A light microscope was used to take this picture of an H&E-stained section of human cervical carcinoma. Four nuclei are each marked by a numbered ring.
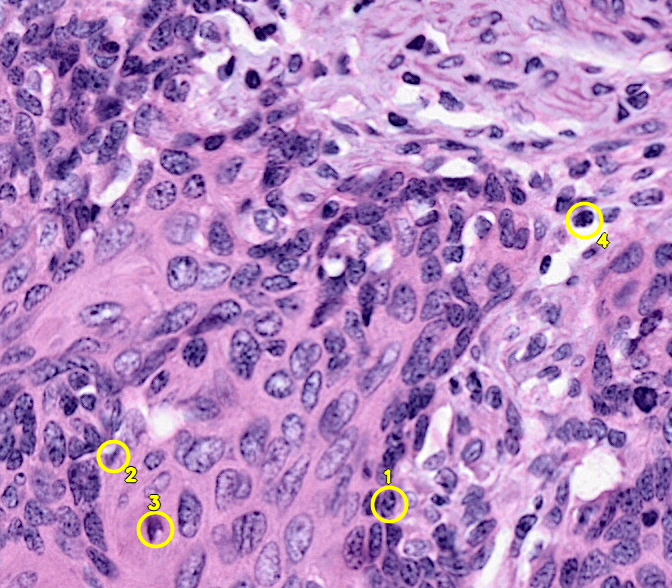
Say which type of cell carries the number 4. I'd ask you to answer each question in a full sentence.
The cell indicated with the number 4 is classed as a lymphocyte.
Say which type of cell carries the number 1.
Recognised here as a squamous carcinoma cell is the cell numbered 1.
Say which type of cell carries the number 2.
In the tissue shown, cell 2 is a squamous carcinoma cell.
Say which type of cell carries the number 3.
To a squamous carcinoma cell belongs the nucleus marked 3.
